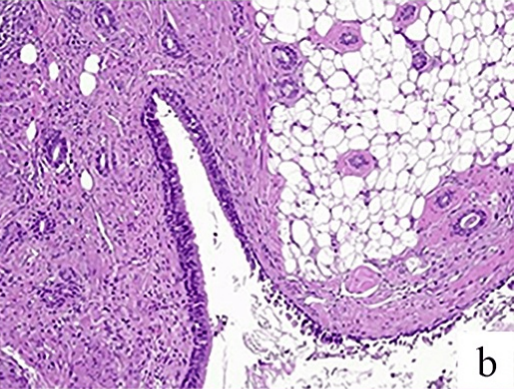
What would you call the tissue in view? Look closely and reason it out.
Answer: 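Large empty round vacuoles with thin pink walls fill the upper right. Small blood vessels lie between the vacuoles. The answer: adipose tissue.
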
